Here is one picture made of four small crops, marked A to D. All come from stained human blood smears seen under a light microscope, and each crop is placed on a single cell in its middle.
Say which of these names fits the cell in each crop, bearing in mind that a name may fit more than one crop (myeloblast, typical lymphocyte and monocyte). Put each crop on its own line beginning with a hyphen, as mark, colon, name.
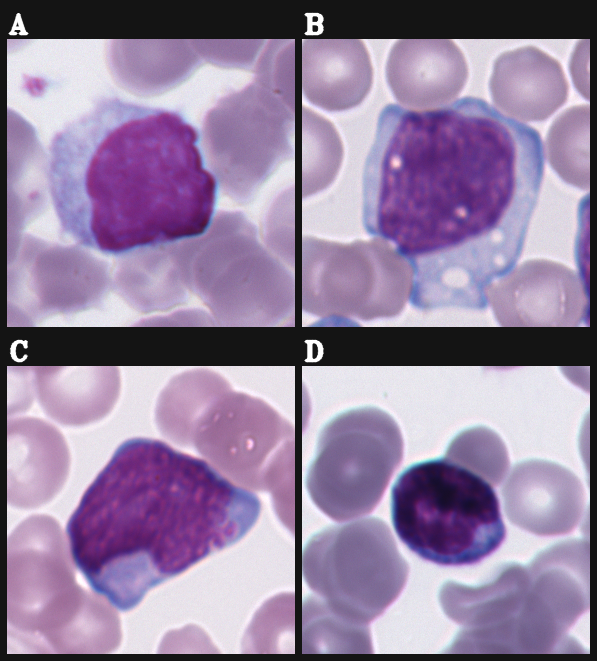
- A: typical lymphocyte
- B: myeloblast
- C: myeloblast
- D: typical lymphocyte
